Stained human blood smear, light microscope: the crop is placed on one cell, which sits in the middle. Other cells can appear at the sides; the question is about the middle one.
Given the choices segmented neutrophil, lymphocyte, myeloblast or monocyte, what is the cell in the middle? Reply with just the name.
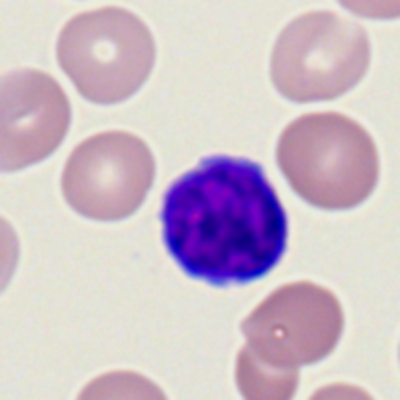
lymphocyte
